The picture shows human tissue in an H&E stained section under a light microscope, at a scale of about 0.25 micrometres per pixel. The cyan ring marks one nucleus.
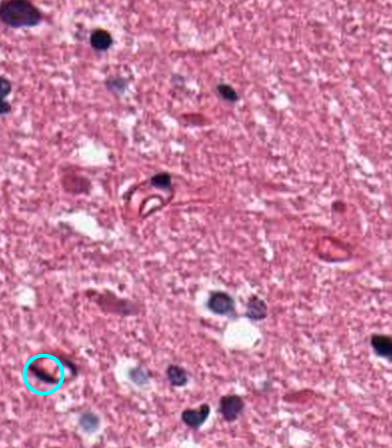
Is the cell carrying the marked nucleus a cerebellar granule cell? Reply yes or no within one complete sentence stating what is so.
No, the marked nucleus forms part of a supporting cell instead of a cerebellar granule cell.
